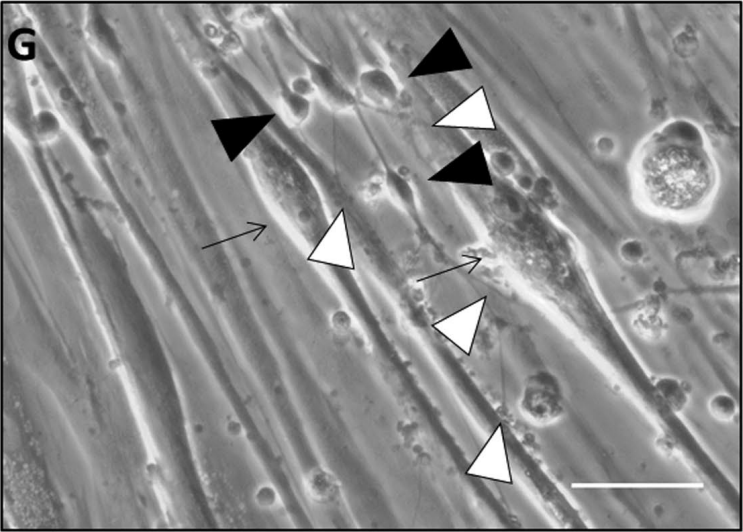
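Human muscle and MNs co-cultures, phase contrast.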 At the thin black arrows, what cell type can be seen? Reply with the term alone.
Intrafusal fibers.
